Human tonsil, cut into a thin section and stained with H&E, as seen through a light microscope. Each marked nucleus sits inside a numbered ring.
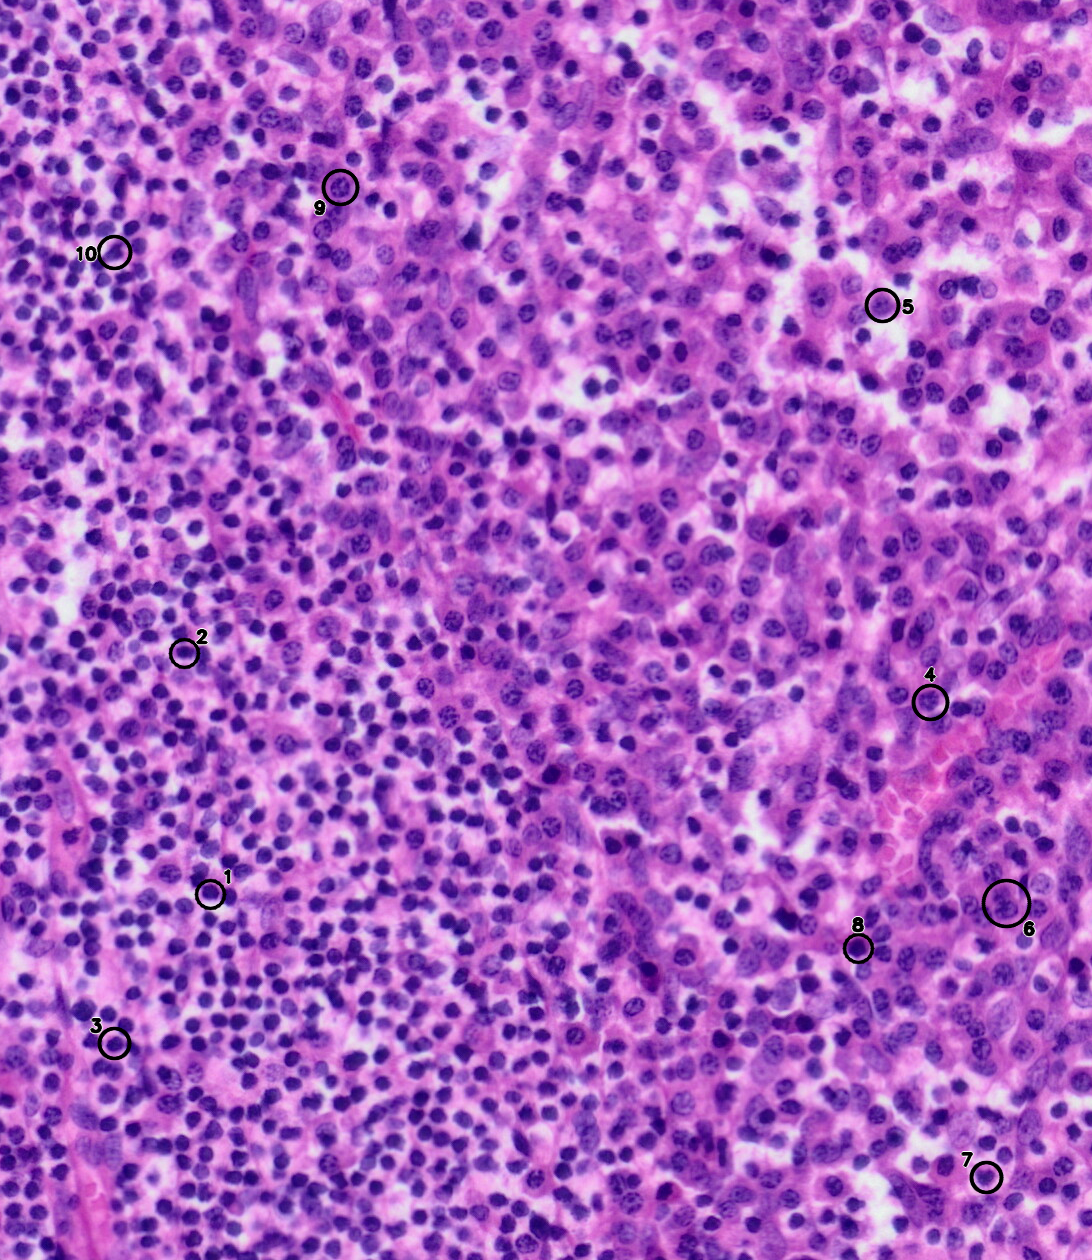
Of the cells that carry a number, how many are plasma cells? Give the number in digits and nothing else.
6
